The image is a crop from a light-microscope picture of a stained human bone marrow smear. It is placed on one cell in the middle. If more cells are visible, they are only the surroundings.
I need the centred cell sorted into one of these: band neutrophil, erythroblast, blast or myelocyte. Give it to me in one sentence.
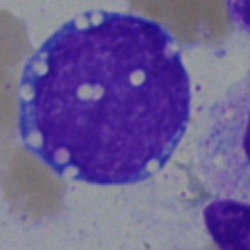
Answering briefly, the cell in the middle is a blast.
